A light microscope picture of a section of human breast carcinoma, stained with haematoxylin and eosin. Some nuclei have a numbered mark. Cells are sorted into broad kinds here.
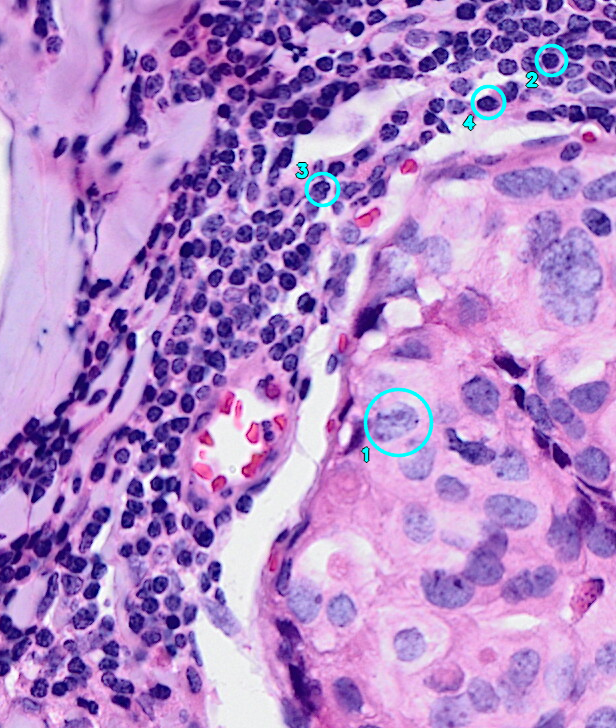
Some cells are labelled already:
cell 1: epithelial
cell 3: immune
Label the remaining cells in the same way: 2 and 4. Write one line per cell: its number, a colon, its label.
2: immune
4: immune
